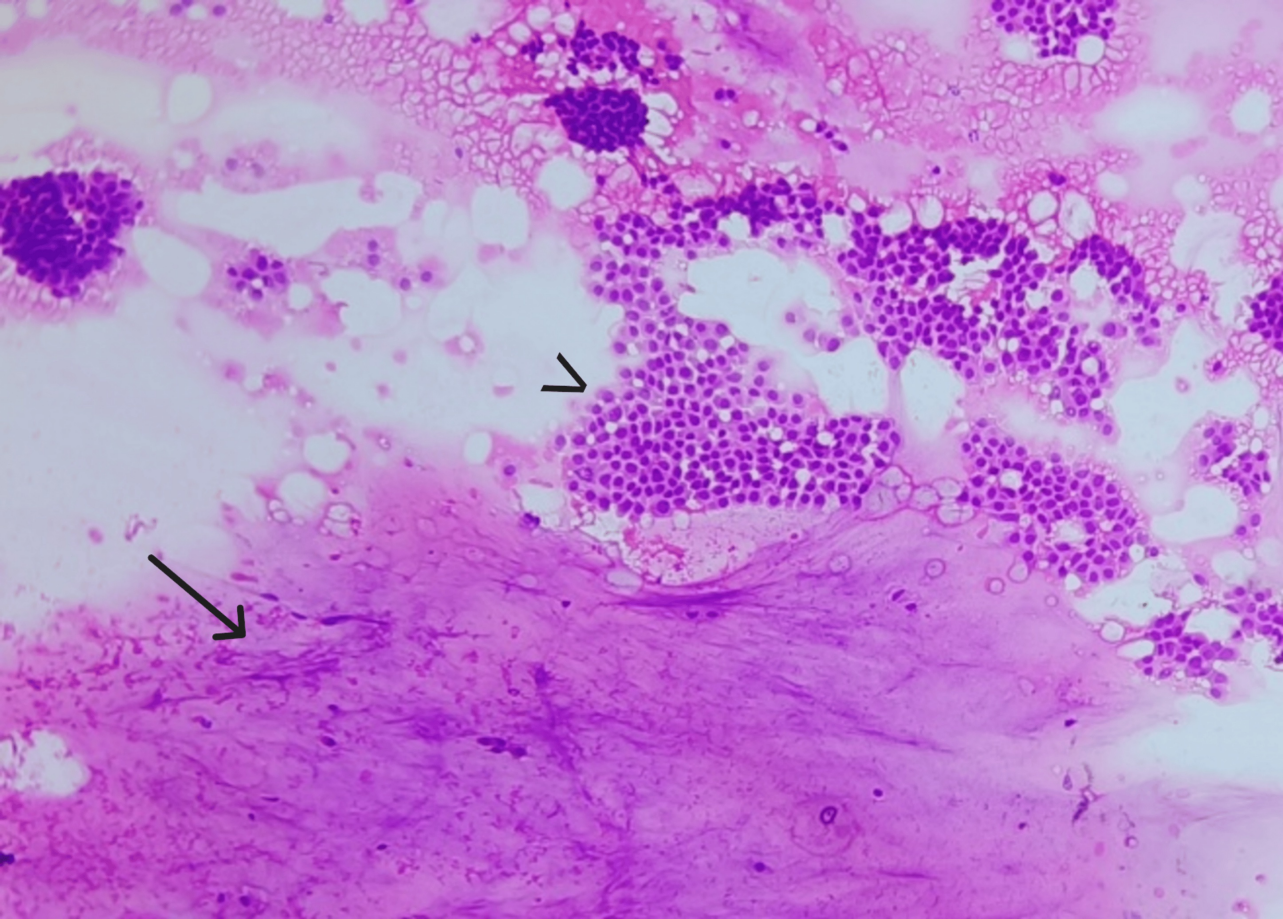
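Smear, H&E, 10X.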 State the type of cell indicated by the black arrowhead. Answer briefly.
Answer: Cohesive clusters and sheets of epithelial cells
